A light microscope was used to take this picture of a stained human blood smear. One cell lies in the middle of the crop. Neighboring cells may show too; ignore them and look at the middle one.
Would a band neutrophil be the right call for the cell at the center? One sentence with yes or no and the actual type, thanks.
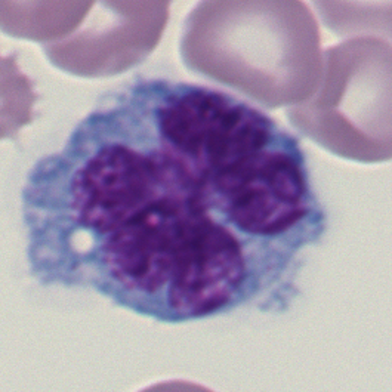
No, the cell in the middle of the field is a monocyte, not a band neutrophil as suggested.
